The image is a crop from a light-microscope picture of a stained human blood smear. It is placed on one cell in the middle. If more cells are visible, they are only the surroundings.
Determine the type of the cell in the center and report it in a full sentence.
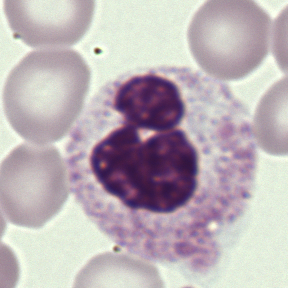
The middle of this crop holds a segmented neutrophil.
